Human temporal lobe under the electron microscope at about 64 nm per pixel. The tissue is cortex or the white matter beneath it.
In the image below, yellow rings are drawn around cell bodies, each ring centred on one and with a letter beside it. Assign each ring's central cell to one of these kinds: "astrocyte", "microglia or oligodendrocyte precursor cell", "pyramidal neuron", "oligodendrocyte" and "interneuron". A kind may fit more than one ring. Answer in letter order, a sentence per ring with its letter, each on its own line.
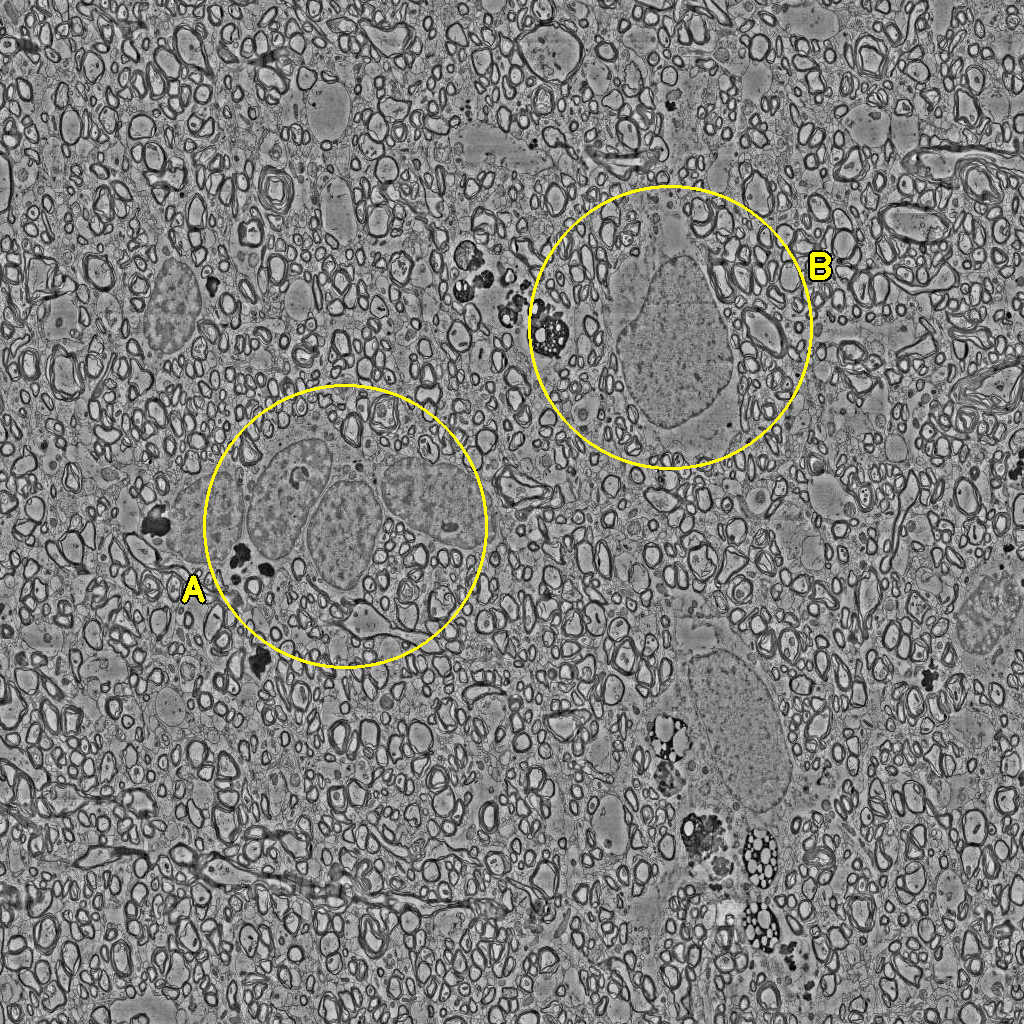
The central cell of ring A is an oligodendrocyte.
The central cell of ring B is an astrocyte.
